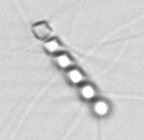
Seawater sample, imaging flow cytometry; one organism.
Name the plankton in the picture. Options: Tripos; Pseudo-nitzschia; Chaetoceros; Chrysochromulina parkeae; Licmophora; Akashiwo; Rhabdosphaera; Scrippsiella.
Chaetoceros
